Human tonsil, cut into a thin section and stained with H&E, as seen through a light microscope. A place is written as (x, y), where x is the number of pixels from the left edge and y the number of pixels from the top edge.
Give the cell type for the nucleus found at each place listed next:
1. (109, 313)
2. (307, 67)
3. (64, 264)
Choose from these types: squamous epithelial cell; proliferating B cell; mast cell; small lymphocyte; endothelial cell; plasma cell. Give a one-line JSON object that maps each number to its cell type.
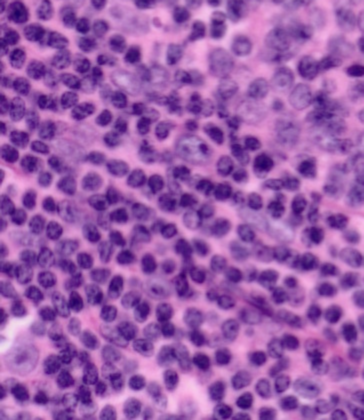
{"1": "small lymphocyte", "2": "proliferating B cell", "3": "small lymphocyte"}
